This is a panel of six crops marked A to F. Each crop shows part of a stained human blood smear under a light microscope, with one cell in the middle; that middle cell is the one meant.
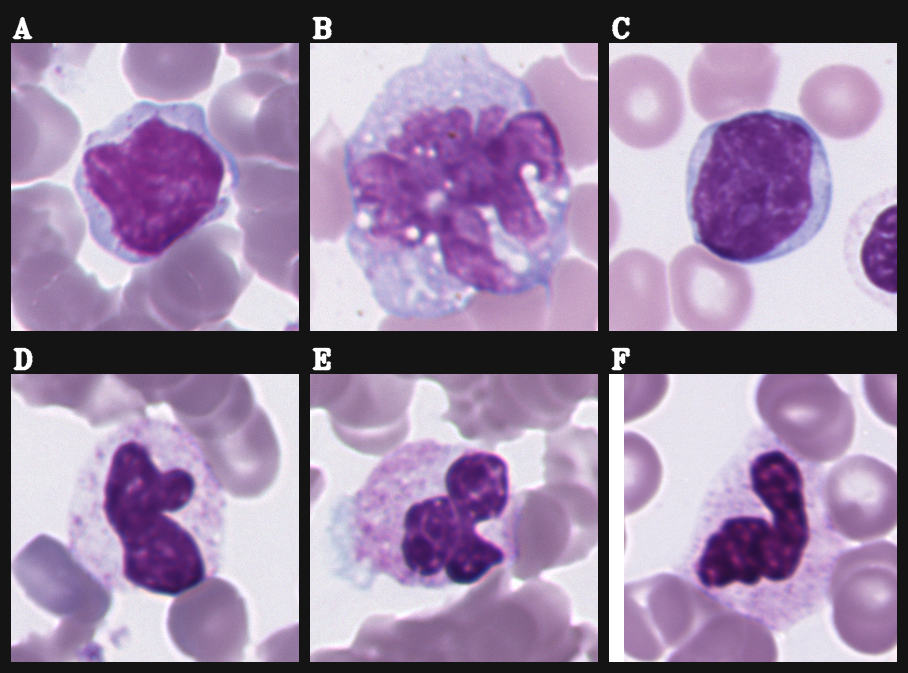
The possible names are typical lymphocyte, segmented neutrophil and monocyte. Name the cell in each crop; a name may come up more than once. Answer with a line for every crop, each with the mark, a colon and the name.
A: typical lymphocyte
B: monocyte
C: typical lymphocyte
D: segmented neutrophil
E: segmented neutrophil
F: segmented neutrophil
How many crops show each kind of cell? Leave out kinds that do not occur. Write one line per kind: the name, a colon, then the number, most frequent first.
segmented neutrophil: 3
typical lymphocyte: 2
monocyte: 1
